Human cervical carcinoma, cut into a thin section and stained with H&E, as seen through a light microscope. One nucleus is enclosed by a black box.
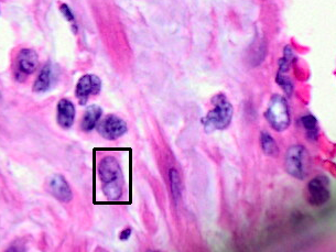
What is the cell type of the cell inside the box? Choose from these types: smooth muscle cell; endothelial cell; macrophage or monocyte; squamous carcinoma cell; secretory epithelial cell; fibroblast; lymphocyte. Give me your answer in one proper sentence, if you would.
In the tissue at hand, the cell inside the box is a macrophage or monocyte.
